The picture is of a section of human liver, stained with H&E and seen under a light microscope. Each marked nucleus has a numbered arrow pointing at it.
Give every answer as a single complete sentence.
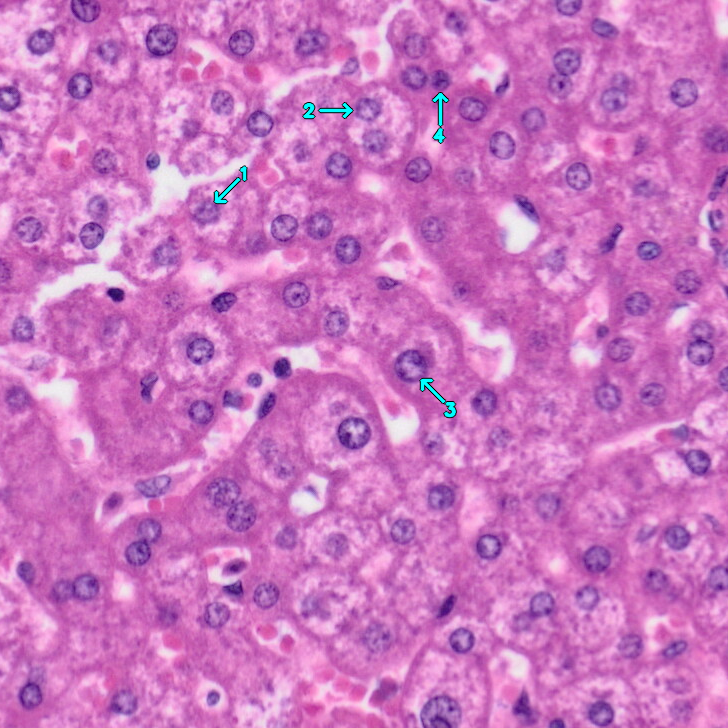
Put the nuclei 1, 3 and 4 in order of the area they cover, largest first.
Largest first, the order by area is 3, 1, 4.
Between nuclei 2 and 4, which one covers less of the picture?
The smaller nucleus is 4, and 2 covers roughly 1.5 times its area.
